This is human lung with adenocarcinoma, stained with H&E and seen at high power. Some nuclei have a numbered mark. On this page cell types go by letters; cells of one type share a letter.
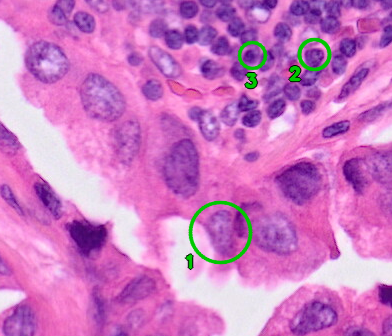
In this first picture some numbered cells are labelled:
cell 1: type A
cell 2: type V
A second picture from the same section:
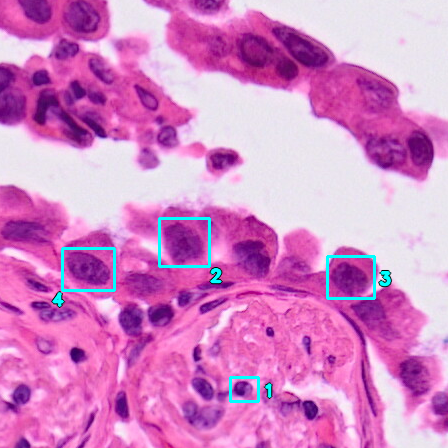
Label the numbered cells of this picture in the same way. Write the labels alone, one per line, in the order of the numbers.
type V
type A
type A
type A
